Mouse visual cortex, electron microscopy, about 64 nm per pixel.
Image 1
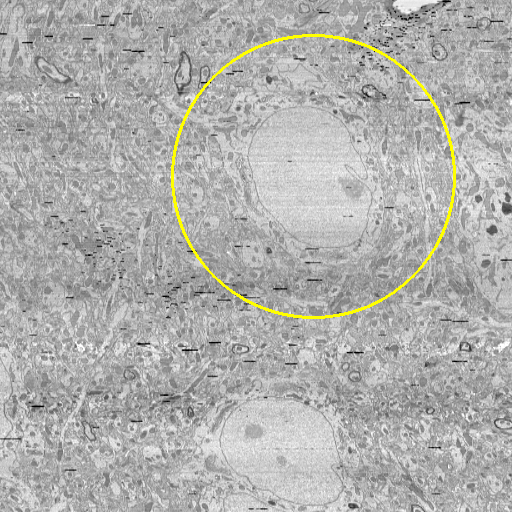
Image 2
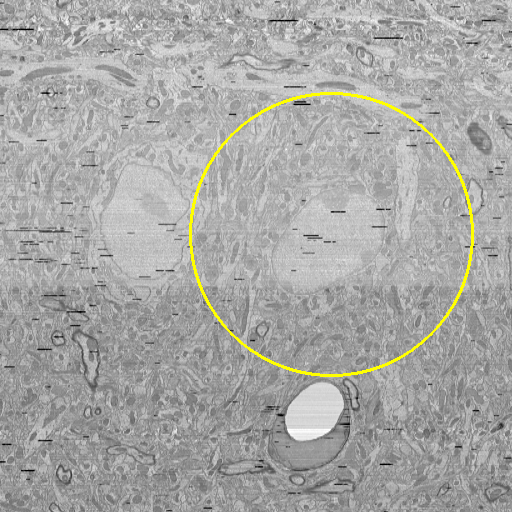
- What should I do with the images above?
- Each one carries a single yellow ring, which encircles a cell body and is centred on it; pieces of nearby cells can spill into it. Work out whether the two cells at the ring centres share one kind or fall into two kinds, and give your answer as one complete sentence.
The ring-centre cells of Image 1 and Image 2 fall into two kinds.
